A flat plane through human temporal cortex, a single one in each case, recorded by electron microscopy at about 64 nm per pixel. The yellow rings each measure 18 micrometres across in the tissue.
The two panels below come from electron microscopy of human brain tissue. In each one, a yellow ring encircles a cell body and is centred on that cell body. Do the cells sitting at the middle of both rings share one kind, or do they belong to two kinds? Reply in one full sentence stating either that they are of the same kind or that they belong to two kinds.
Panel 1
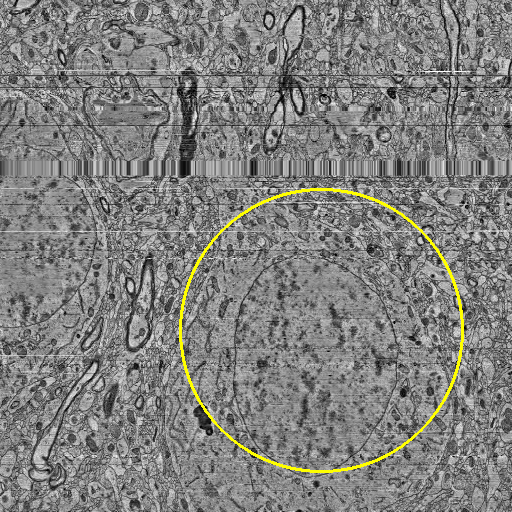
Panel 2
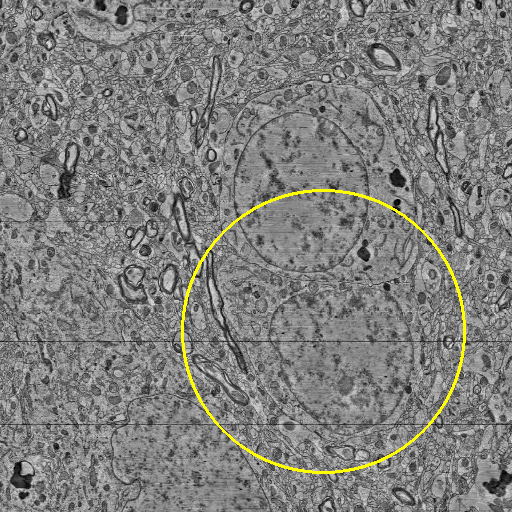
The cells at the centres of the two rings belong to two kinds.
